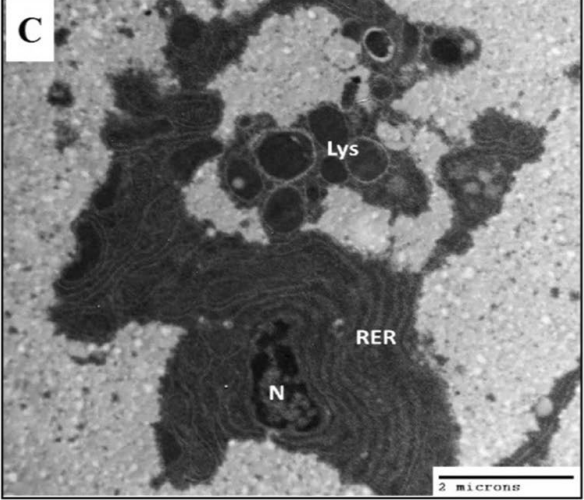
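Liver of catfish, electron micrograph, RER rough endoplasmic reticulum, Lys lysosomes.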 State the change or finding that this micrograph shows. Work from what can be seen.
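The nucleus is small, irregular and dark. The nucleus is surrounded by concentric stacks of membranes. Round dense bodies cluster in the cytoplasm nearby.
Conclusion: shrinkage nucleus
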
